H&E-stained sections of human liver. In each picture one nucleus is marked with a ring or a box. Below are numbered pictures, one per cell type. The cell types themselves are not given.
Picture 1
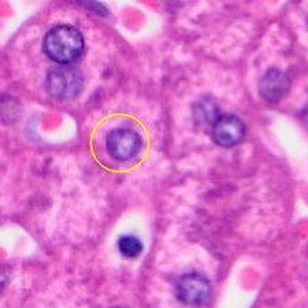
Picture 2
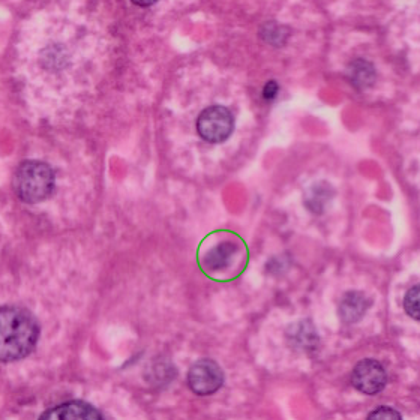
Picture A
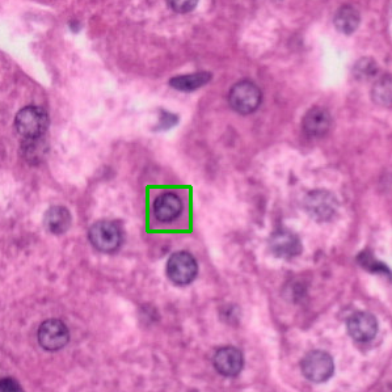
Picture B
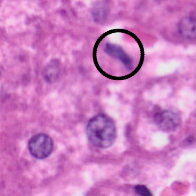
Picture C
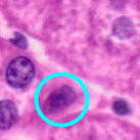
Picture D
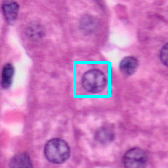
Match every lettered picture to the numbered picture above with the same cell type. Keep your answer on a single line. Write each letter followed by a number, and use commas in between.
A 1, B 2, C 2, D 1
